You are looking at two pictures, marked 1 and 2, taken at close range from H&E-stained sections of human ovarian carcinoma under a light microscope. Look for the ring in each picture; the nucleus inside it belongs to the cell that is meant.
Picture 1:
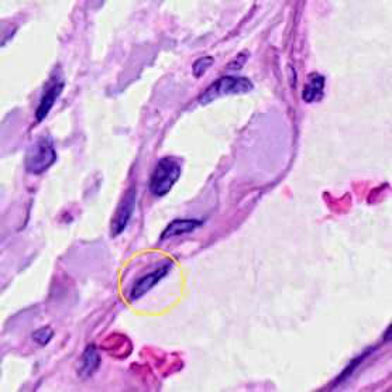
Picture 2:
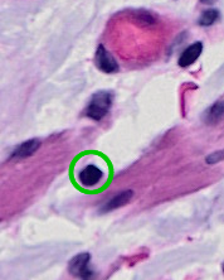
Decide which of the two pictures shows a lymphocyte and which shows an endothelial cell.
1: endothelial cell
2: lymphocyte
